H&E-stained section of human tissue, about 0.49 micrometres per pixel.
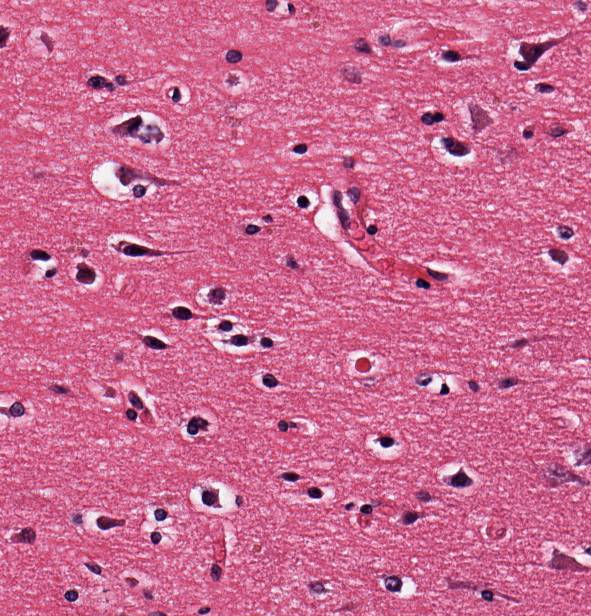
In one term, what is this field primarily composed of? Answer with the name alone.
cerebral cortex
